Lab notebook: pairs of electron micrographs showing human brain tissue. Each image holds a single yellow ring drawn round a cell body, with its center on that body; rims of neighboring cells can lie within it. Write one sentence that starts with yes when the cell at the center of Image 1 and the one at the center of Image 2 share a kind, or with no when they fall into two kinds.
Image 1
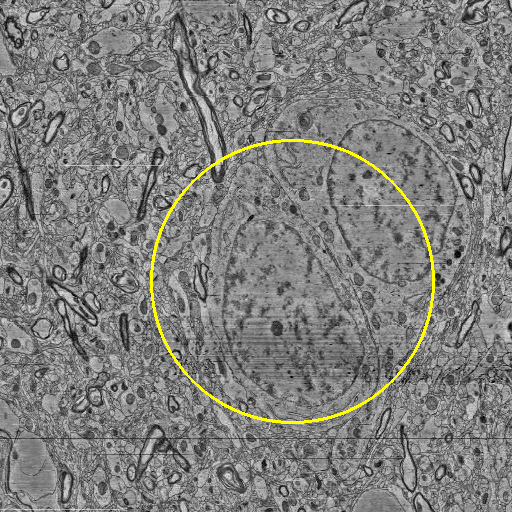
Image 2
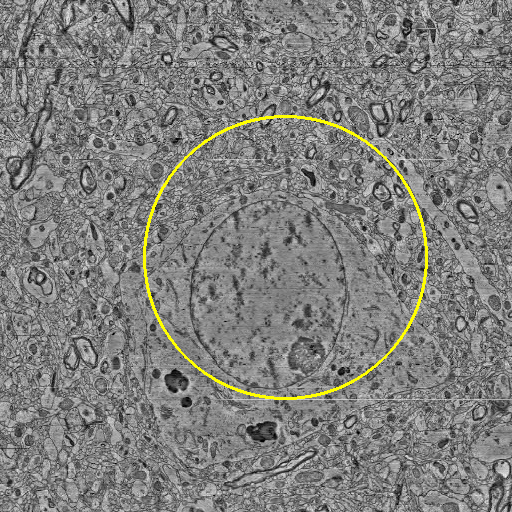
No, the centered cell in Image 1 and the centered cell in Image 2 are of two kinds.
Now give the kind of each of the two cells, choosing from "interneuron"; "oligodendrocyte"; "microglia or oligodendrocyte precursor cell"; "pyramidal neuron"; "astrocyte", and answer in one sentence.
The cell in the first picture is an interneuron, and the cell in the second is a pyramidal neuron.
